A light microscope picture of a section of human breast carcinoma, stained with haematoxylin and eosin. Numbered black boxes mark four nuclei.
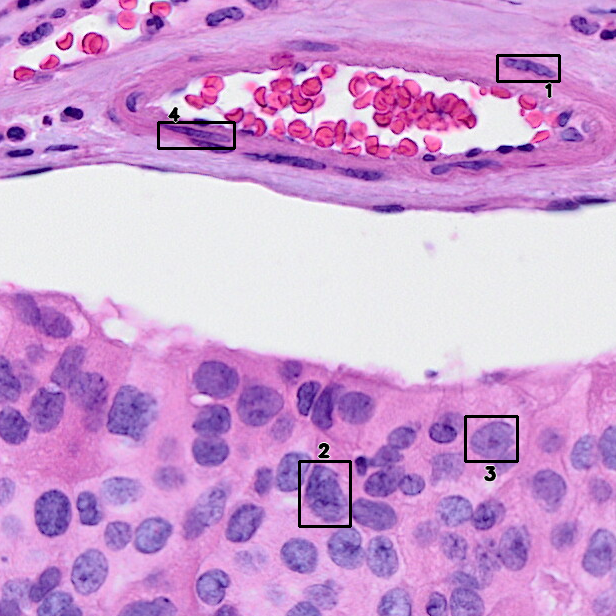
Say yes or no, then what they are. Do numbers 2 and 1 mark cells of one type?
No, the cell bearing number 2 is a carcinoma cell, while the one bearing number 1 is an endothelial cell.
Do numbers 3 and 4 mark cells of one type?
No, cell 3 is a carcinoma cell; as for cell 4, that one is an endothelial cell.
